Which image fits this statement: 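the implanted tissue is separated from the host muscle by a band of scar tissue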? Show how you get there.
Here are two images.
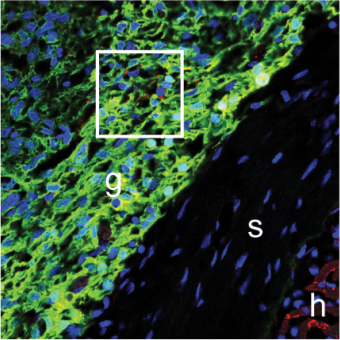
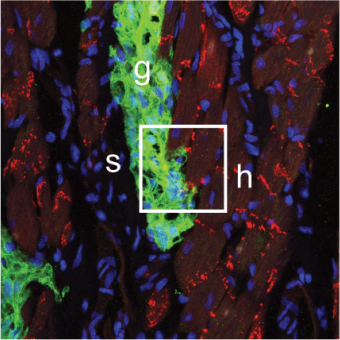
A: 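The first image. Second image: the green tissue lies directly against elongated host muscle fibres on its right. First image: a broad dark band with sparse elongated nuclei and no green lies between the green tissue and the host muscle at the lower right.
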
